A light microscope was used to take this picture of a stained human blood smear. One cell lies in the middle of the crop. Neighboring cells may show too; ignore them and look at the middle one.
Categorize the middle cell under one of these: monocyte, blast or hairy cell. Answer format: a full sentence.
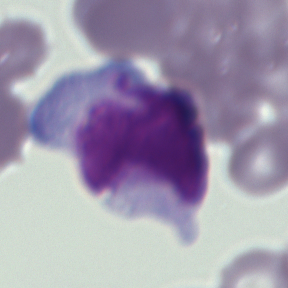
Positioned in the middle of the crop is a blast.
